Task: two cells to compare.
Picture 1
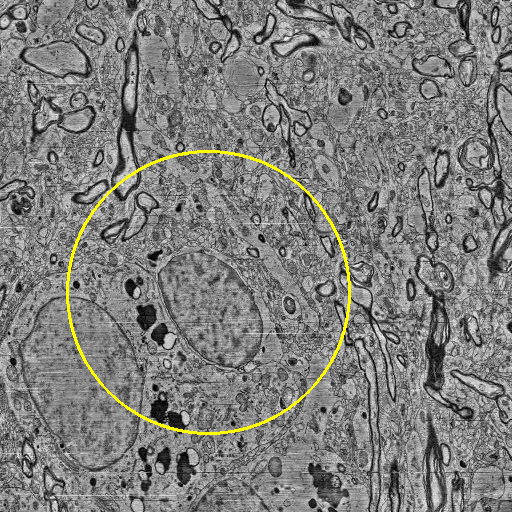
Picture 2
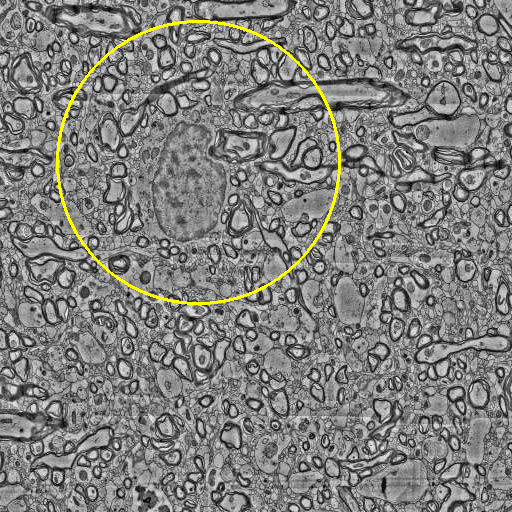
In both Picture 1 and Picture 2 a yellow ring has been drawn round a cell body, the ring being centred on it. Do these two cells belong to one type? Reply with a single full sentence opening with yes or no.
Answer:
No, the two cells at the ring centres in Picture 1 and Picture 2 are of two types.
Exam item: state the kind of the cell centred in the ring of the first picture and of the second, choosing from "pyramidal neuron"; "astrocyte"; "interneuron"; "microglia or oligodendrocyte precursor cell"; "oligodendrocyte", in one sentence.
The first picture shows a microglial cell or oligodendrocyte precursor cell at the ring centre and the second shows an oligodendrocyte.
